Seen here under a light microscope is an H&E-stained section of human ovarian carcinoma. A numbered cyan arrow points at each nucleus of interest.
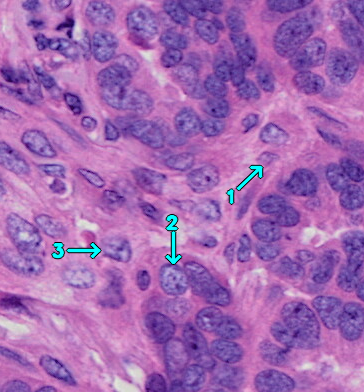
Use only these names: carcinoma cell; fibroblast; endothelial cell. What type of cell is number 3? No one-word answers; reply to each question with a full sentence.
The mark numbered 3 indicates the nucleus of a fibroblast.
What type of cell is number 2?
Cell 2 should be recorded as a carcinoma cell.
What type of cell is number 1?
The cell identified by the number 1 is a fibroblast.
